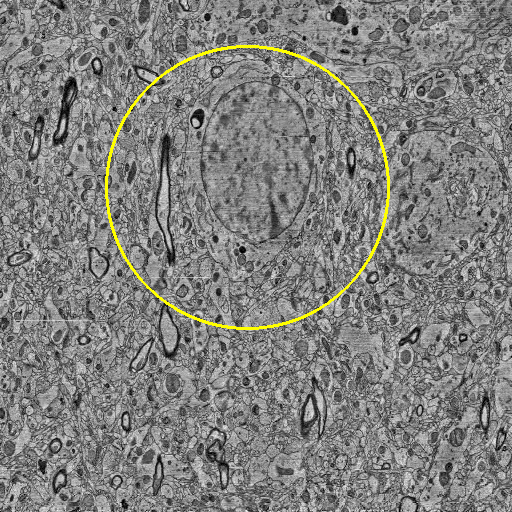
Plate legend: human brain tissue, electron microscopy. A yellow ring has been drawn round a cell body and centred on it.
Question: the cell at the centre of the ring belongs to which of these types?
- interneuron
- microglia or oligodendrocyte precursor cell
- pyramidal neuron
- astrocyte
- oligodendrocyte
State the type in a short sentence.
The cell in the middle of the ring is an interneuron.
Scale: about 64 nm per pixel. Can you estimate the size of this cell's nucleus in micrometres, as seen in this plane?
Roughly 11 by 7 micrometres; in this plane, clearly longer than it is wide.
